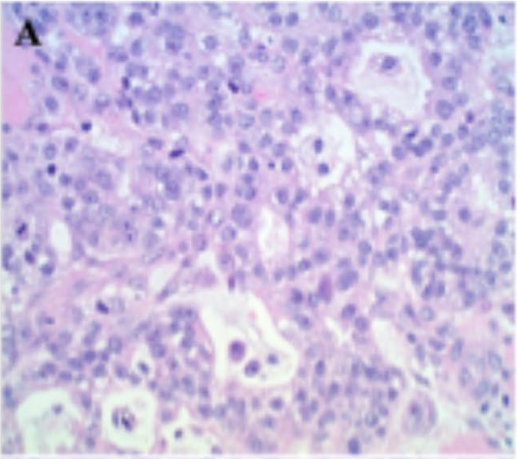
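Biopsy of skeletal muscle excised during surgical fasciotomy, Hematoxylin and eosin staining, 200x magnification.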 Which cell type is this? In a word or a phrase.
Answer: Atypical poorly differentiated glandular cells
